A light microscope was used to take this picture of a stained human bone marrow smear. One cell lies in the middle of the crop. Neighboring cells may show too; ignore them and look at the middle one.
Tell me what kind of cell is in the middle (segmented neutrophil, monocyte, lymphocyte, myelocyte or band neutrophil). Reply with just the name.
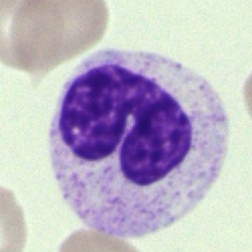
band neutrophil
